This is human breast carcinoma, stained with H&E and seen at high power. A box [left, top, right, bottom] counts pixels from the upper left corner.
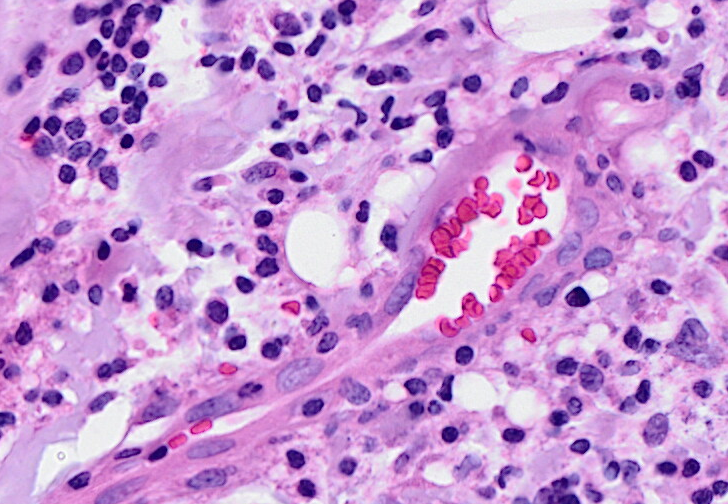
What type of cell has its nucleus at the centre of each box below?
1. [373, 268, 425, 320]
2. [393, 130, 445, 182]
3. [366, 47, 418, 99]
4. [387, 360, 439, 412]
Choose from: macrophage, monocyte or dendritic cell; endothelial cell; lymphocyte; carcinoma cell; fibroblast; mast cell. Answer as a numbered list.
1. endothelial cell
2. lymphocyte
3. lymphocyte
4. lymphocyte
